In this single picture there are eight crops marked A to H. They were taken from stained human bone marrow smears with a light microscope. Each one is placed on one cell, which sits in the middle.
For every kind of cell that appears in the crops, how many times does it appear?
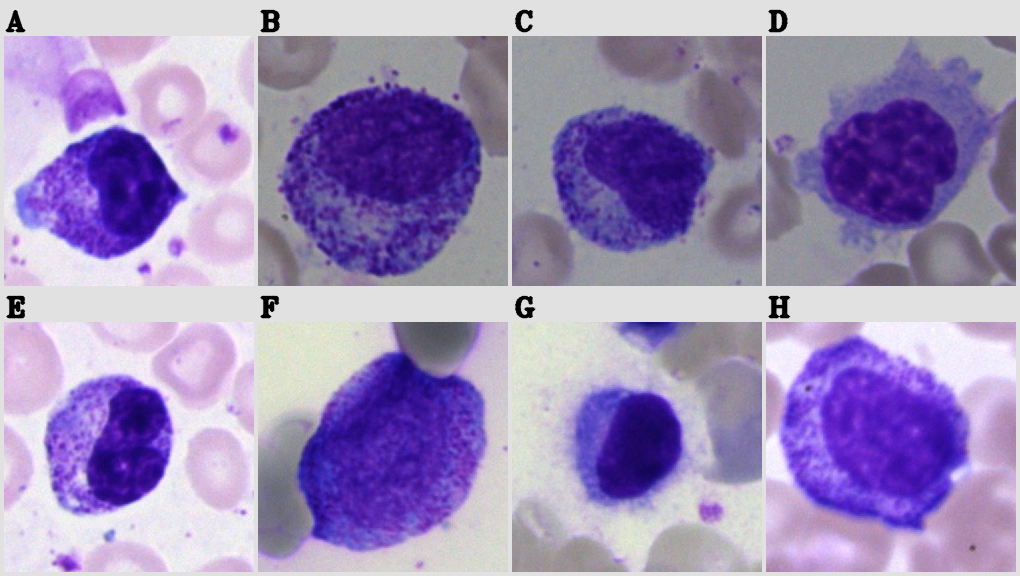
metamyelocyte: 3
promyelocyte: 3
hairy cell: 2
